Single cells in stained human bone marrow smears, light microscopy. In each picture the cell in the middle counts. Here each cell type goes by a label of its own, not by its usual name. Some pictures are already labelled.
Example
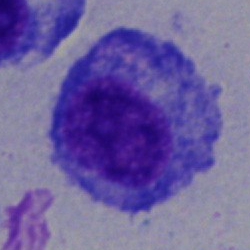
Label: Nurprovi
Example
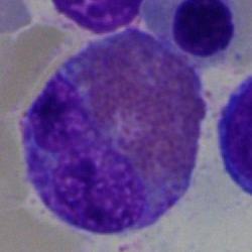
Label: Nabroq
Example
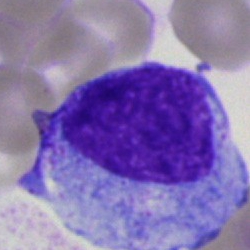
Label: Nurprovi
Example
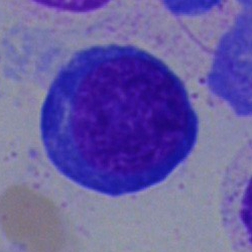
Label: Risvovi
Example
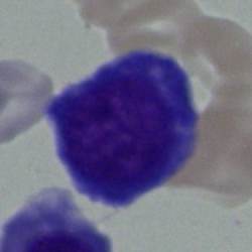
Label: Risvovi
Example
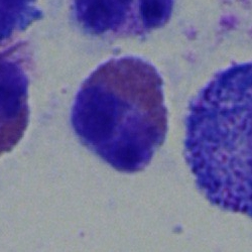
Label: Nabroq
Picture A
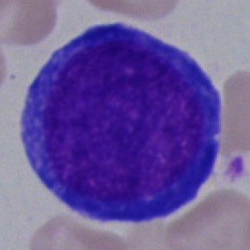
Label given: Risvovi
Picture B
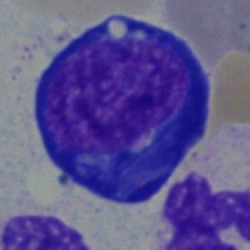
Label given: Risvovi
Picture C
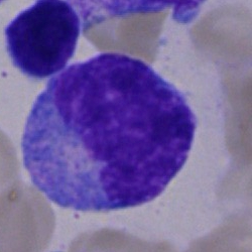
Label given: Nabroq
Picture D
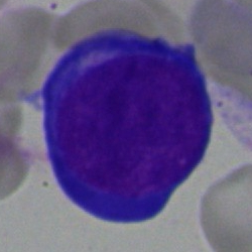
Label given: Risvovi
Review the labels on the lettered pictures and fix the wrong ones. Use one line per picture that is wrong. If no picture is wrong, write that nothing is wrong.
C: change Nabroq to Nurprovi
